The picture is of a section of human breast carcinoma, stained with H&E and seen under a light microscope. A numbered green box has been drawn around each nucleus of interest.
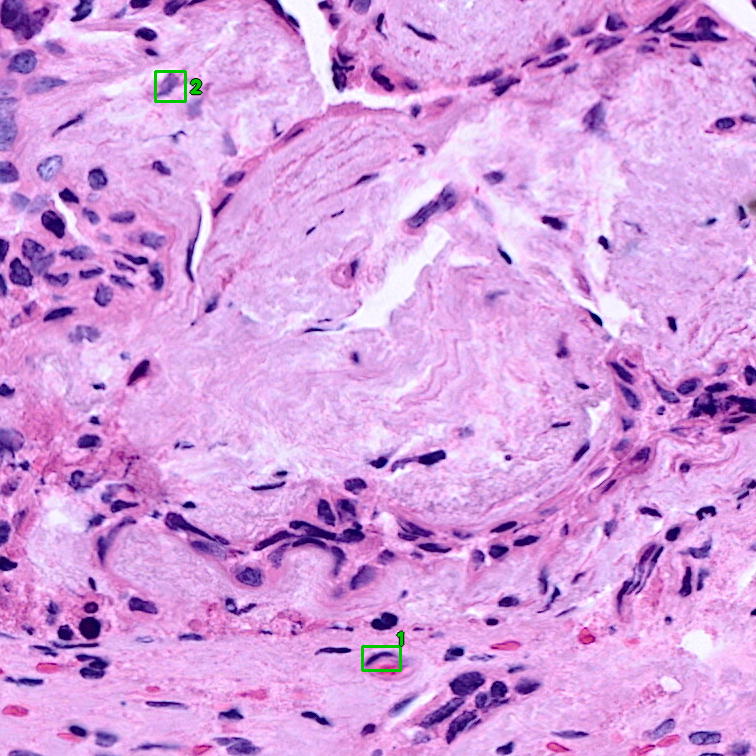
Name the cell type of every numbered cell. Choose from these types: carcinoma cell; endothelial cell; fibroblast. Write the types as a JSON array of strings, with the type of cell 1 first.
["endothelial cell", "fibroblast"]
